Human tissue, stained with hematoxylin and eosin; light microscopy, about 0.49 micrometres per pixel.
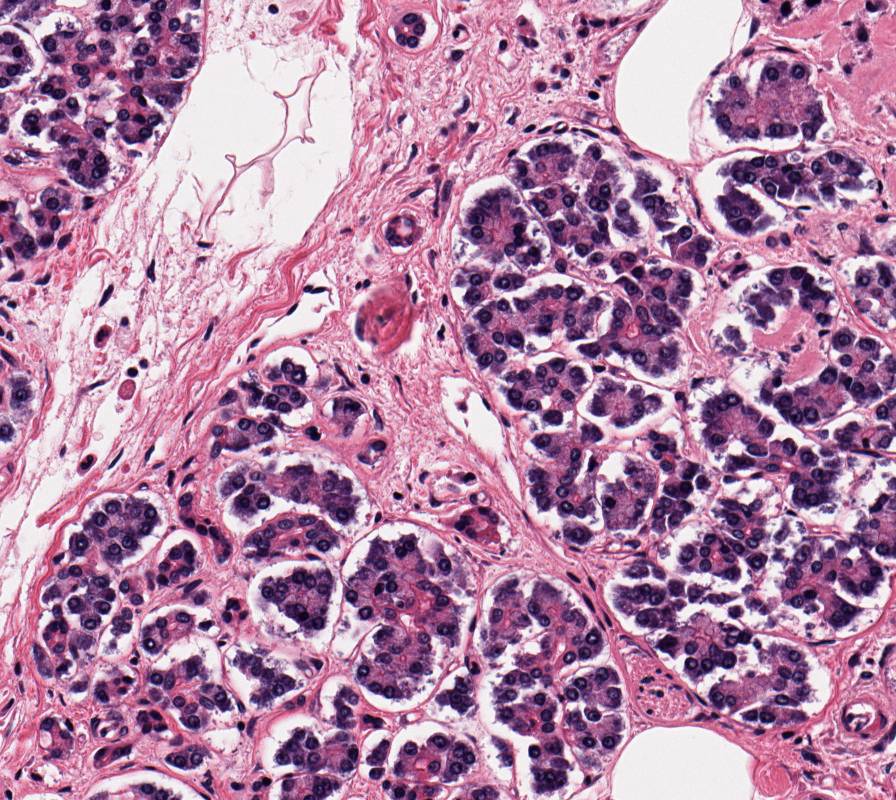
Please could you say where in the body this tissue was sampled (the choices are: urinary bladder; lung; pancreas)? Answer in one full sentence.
This is tissue that was sampled from the pancreas.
